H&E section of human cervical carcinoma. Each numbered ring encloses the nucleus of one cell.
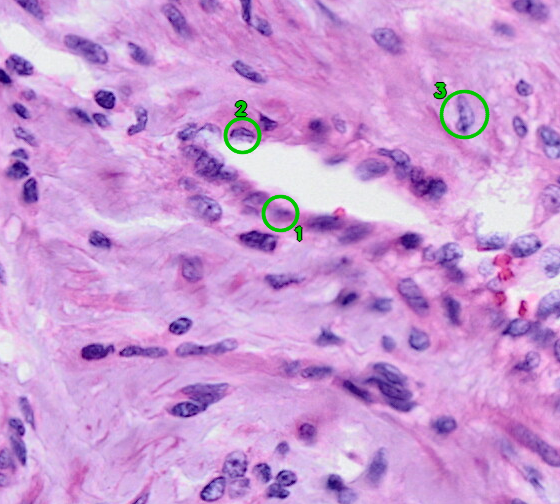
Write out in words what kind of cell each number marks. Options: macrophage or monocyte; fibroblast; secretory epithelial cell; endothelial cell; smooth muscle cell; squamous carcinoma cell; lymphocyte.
Cell 1 is an endothelial cell, cell 2 is an endothelial cell and cell 3 is a fibroblast.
